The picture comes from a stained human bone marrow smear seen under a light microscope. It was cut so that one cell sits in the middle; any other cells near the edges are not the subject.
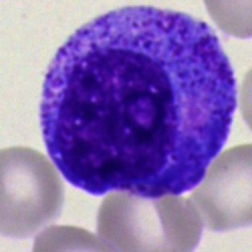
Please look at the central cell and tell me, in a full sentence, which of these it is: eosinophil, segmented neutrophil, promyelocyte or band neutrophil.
Positioned in the middle of the crop is a promyelocyte.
